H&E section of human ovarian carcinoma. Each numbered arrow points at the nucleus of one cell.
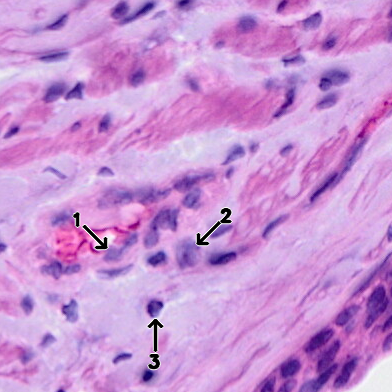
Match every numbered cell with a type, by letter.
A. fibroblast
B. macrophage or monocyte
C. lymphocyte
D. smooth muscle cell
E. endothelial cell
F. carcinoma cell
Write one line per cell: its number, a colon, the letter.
1: E
2: A
3: C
